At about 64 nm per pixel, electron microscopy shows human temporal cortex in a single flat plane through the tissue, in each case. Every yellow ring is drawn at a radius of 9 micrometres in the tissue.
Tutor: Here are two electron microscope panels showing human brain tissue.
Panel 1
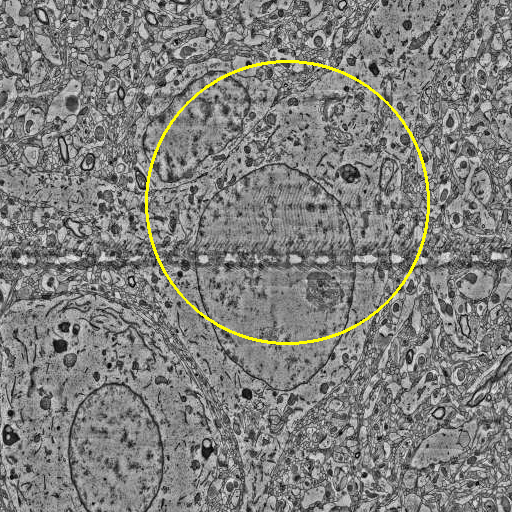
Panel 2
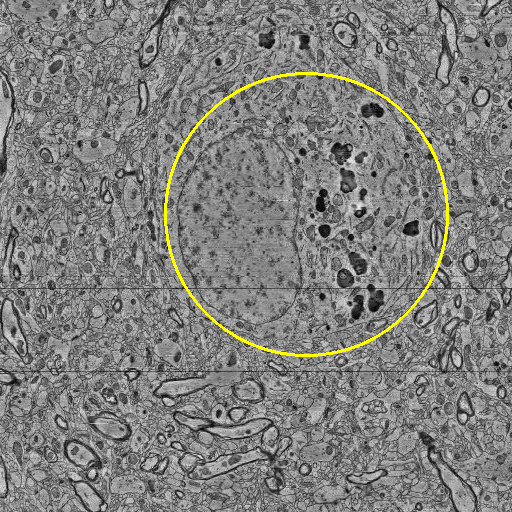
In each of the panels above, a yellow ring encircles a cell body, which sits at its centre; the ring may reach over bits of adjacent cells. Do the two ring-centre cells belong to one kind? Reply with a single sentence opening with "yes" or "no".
No, the two cells sitting at the ring centres in the panels belong to two kinds.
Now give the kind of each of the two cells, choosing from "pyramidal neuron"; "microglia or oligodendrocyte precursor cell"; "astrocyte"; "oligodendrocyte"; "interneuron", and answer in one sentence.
The cell in the first picture is a pyramidal neuron, and the cell in the second is an interneuron.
